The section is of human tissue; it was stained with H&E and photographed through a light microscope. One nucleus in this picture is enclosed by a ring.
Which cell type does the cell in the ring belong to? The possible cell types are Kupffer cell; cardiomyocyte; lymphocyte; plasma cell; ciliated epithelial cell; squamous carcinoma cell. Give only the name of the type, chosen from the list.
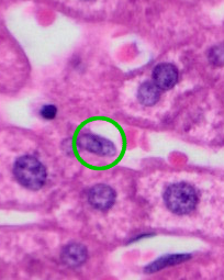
Kupffer cell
